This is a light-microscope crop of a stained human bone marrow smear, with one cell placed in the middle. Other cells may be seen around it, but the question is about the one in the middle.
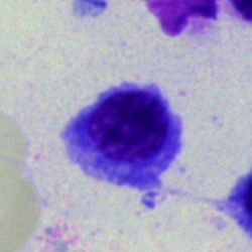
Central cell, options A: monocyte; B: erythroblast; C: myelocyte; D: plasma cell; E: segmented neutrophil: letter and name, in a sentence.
The central cell in this crop is an erythroblast, so the correct choice is option B.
